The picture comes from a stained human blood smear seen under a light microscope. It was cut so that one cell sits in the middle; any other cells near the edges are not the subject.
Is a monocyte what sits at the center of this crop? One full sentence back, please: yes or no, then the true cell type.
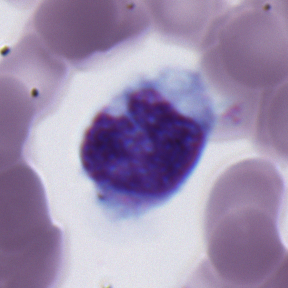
Yes, the cell in the middle of the crop is a monocyte.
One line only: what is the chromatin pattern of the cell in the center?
Chromatin in the nucleus here is coarsely clumped.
